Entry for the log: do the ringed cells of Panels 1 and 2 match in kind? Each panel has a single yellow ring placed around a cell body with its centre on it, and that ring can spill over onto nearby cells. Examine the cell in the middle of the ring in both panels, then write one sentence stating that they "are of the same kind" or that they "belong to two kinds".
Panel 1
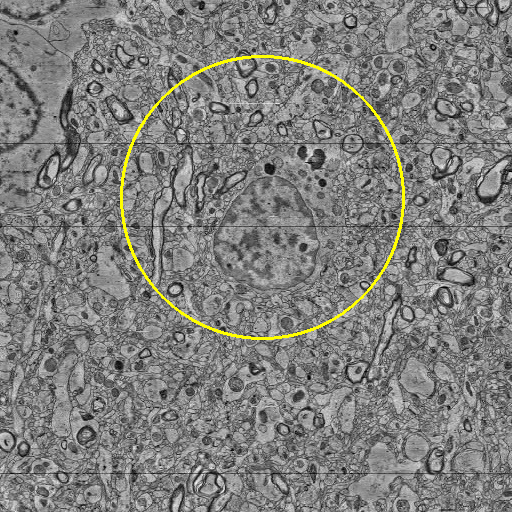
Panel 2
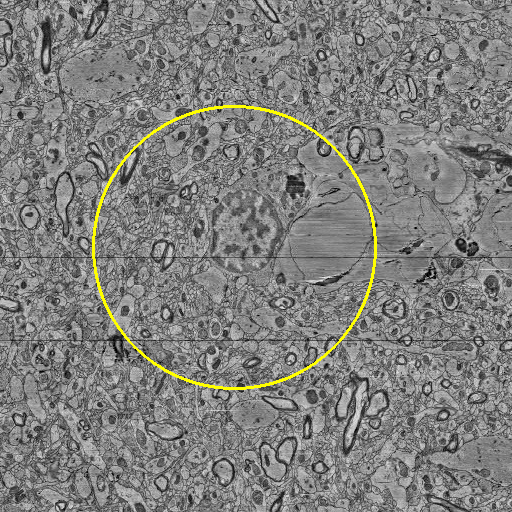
The centre cell of Panel 1's ring and that of Panel 2's ring are of the same kind.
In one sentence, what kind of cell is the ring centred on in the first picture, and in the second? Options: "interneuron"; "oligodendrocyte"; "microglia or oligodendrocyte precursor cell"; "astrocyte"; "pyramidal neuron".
Each of the two pictures has an oligodendrocyte at the ring centre.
